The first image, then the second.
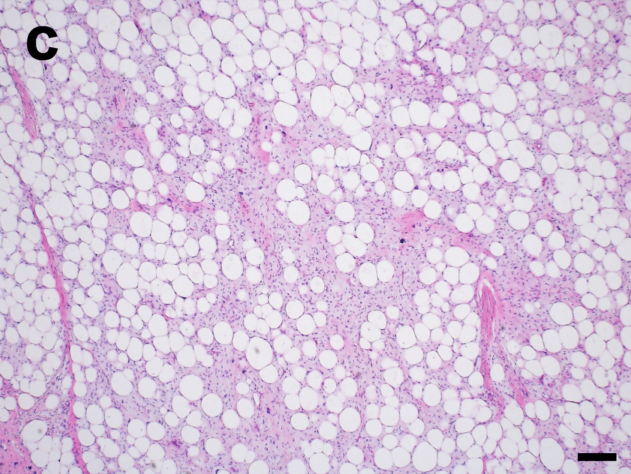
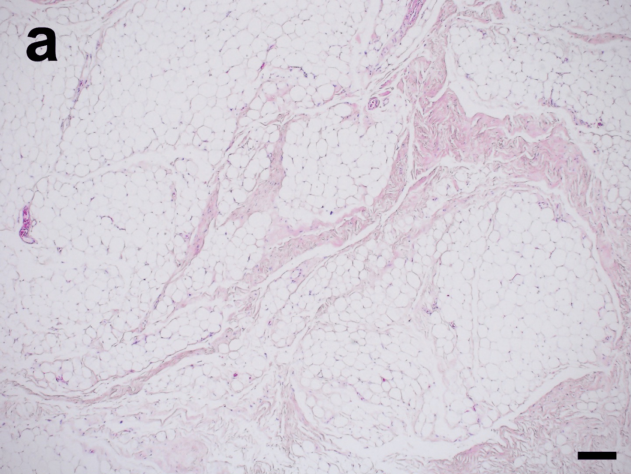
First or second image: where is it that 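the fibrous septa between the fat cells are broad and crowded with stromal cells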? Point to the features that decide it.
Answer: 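First image: broad pink septa full of small dark nuclei run between and around the fat cells.
Conclusion: the first image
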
